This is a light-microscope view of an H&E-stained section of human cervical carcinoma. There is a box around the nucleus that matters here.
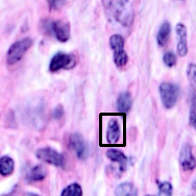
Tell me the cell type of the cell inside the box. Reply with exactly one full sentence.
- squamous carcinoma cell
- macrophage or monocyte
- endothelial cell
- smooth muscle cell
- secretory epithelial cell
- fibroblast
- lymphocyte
Assigned to a cell type, the cell inside the box is a lymphocyte.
